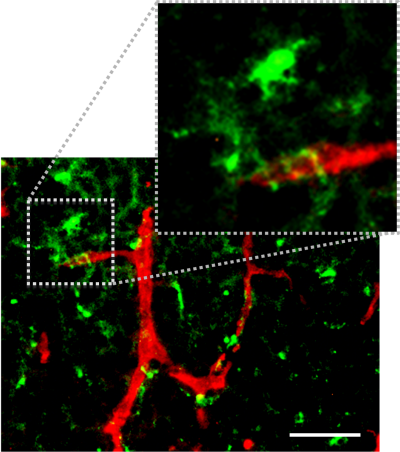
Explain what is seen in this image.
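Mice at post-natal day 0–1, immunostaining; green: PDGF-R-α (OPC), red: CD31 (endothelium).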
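Some green cells lie right next to the red vessels, with their bodies or processes touching the vessel wall; the enlarged inset shows one green cell lying along a red vessel segment, where yellowish overlap appears at the contact. Other green cells stand apart from the vessels. Faint green speckles fill the background between the cells.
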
